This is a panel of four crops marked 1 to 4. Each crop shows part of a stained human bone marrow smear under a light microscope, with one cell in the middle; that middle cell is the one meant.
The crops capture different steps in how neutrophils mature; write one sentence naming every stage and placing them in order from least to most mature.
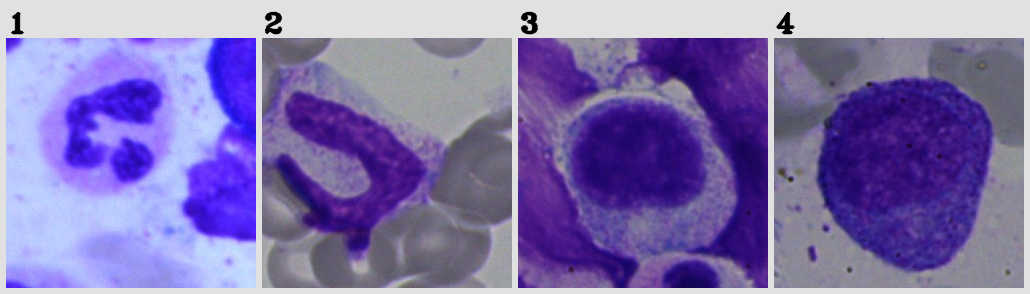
By increasing maturity, the cells should be ordered crop 4 (a promyelocyte), crop 3 (a myelocyte), crop 2 (a band neutrophil) and crop 1 (a segmented neutrophil).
